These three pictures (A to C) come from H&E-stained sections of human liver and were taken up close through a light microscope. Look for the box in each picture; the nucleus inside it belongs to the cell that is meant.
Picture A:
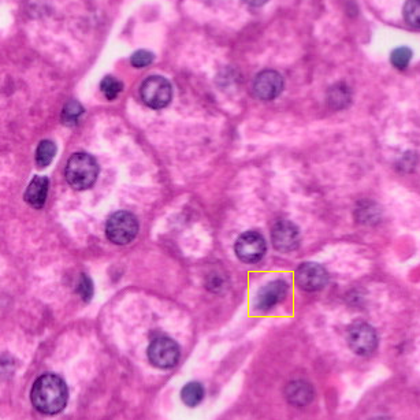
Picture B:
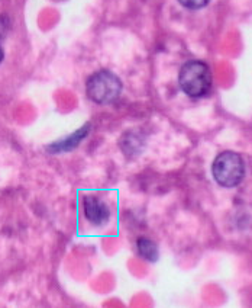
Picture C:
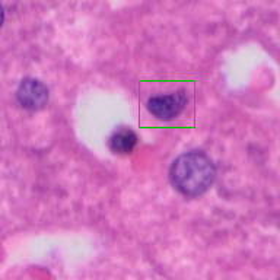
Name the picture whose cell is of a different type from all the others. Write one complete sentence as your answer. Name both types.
The others show “fibroblasts or stellate cells”, but picture A shows a Kupffer cell.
